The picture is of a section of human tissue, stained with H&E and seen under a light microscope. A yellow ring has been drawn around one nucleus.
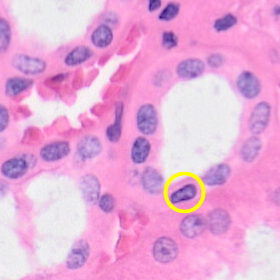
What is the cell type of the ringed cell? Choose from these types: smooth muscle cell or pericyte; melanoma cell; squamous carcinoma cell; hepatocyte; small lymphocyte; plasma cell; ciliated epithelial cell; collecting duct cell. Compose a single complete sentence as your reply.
Considered by cell type, the ringed cell is a collecting duct cell.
